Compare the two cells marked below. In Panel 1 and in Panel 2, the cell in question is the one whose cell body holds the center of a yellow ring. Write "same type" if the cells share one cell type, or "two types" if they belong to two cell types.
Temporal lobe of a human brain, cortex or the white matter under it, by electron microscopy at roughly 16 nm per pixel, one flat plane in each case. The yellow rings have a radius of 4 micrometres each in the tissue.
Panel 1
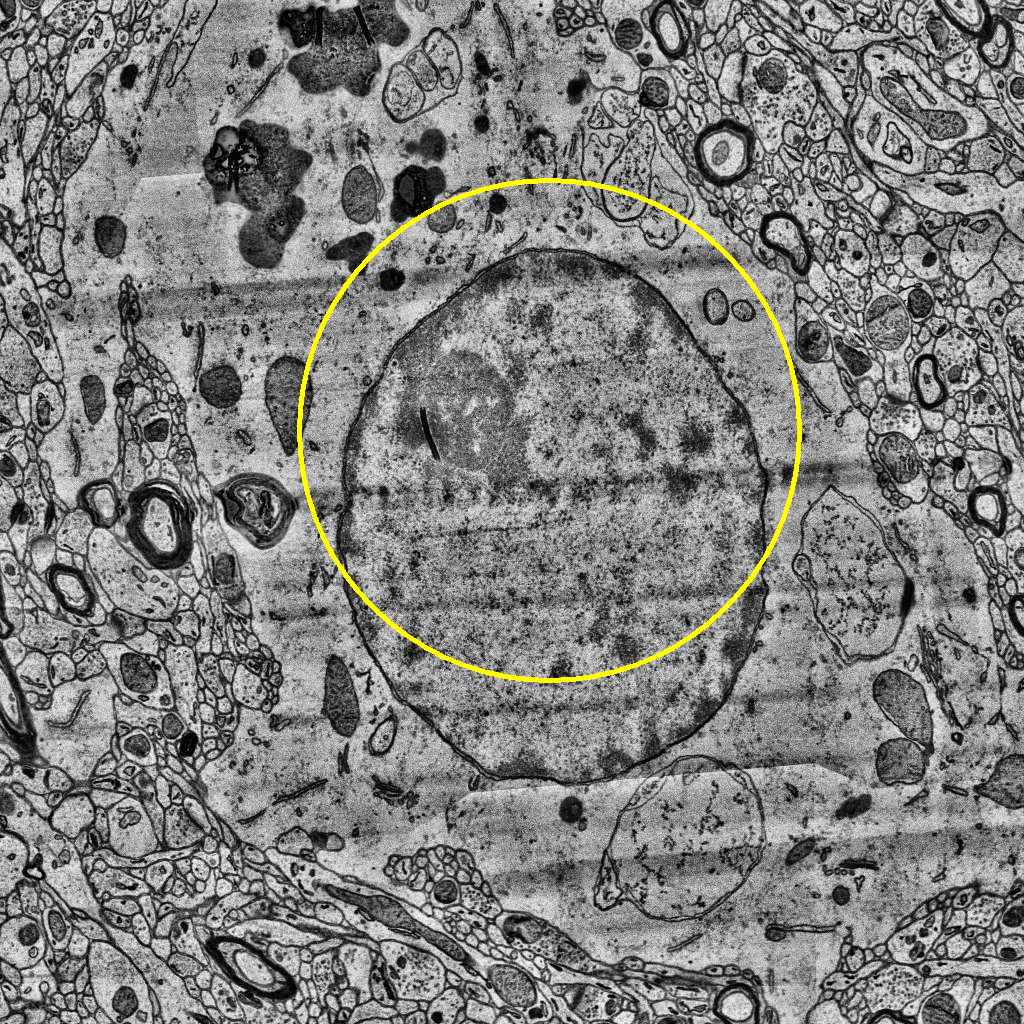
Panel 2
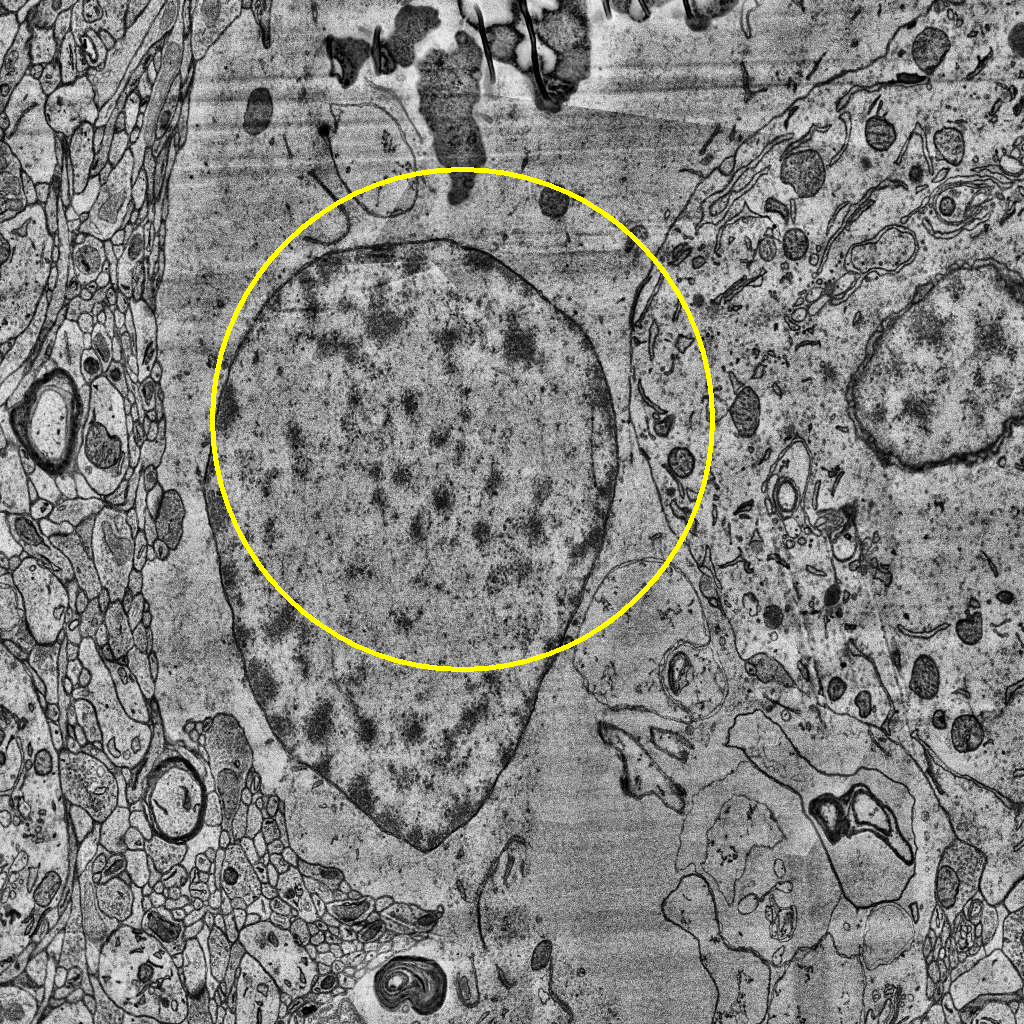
same type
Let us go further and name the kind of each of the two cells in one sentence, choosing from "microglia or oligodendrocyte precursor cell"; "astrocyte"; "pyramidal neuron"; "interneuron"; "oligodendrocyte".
The ring centre holds an astrocyte in each of the two pictures.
